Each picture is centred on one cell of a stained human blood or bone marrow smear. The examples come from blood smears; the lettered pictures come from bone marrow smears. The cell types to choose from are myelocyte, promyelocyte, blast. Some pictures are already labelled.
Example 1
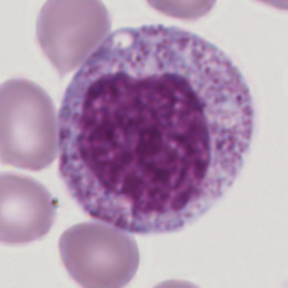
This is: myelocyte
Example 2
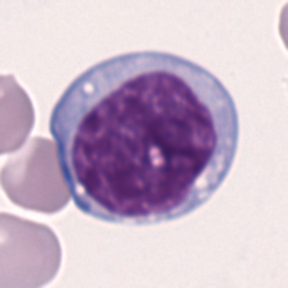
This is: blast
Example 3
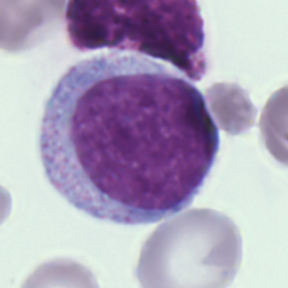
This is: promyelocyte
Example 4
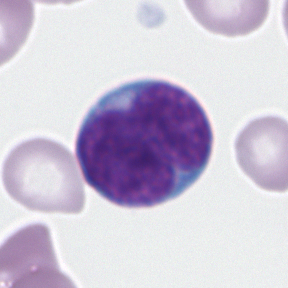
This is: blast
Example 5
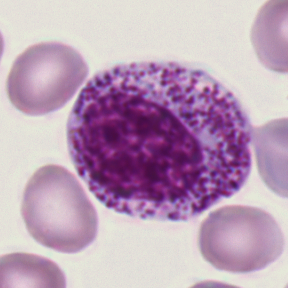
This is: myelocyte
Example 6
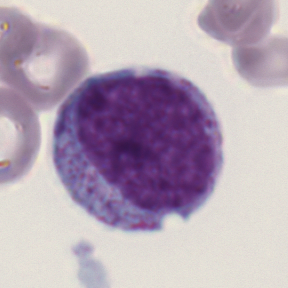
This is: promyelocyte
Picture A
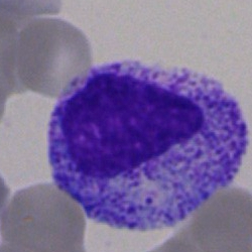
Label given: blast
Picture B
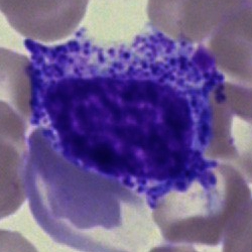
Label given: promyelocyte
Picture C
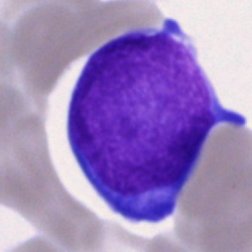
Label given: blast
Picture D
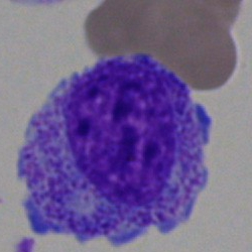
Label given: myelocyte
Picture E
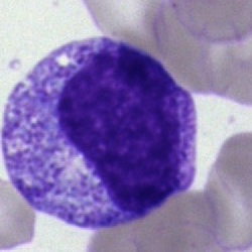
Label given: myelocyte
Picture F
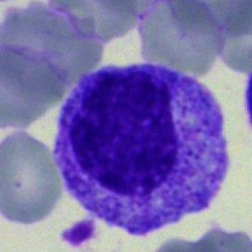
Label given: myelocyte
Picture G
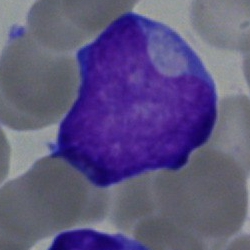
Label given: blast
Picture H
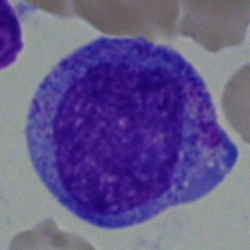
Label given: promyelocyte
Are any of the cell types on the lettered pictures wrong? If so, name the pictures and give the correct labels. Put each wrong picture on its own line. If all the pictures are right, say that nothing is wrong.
A is labelled blast; correct label: myelocyte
